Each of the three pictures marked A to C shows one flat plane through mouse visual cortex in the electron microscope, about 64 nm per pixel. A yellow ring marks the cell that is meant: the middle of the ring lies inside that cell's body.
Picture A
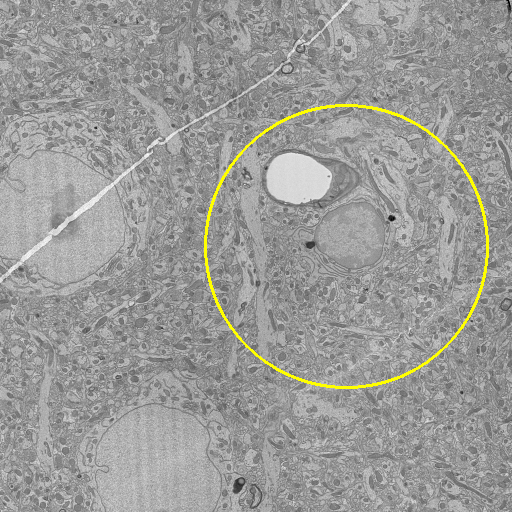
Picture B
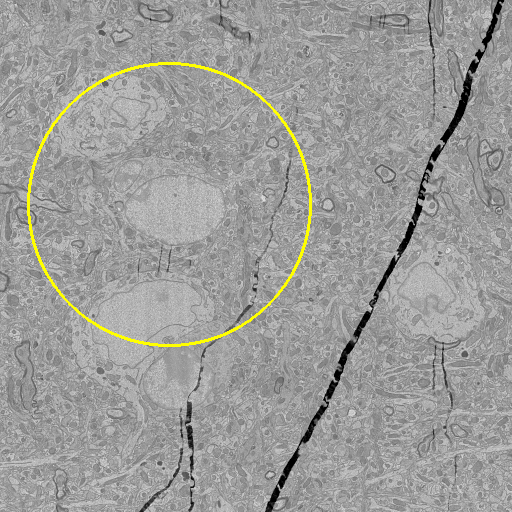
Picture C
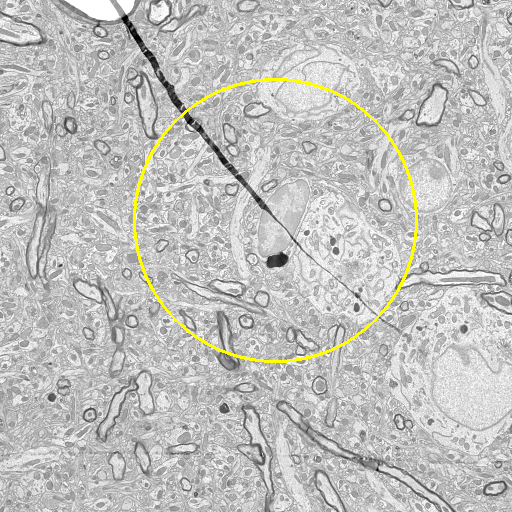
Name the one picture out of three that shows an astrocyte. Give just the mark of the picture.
B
